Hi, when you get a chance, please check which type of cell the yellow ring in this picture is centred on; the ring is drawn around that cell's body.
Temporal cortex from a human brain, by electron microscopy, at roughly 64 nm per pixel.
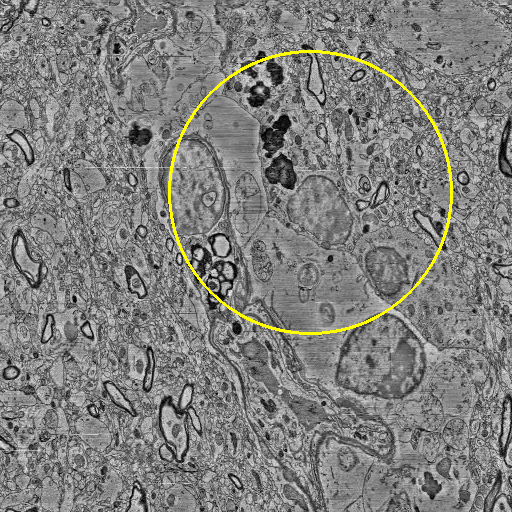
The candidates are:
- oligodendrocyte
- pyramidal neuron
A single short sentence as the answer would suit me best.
The ring is drawn around the body of an oligodendrocyte.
